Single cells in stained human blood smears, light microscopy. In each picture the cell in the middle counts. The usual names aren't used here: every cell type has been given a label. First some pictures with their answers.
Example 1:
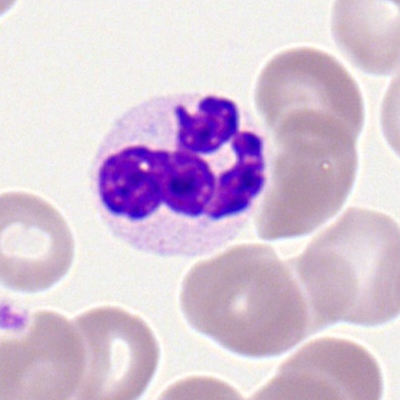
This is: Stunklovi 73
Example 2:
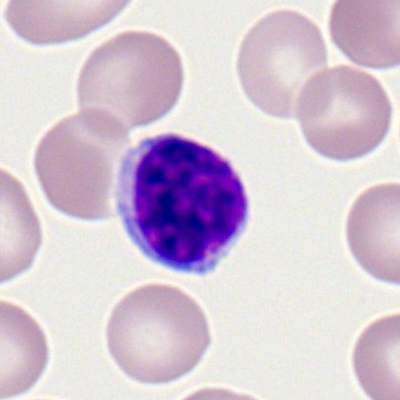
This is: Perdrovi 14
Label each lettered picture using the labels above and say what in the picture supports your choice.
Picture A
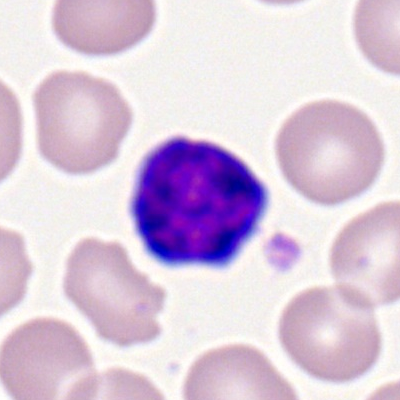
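Label: Perdrovi 14. The nucleus fills almost the whole cell, leaving only a very thin rim of cytoplasm.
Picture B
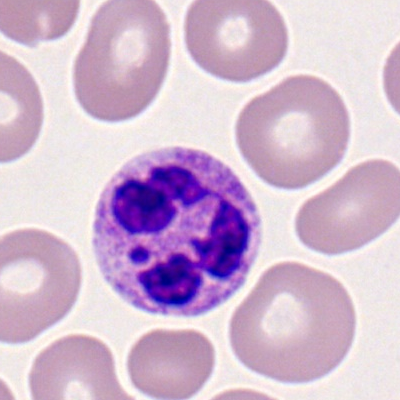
Label: Stunklovi 73. The nucleus is divided into several separate lobes.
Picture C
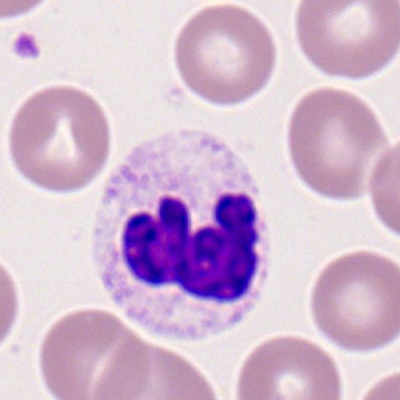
Label: Stunklovi 73. The cytoplasm is plentiful and pale pinkish-lilac.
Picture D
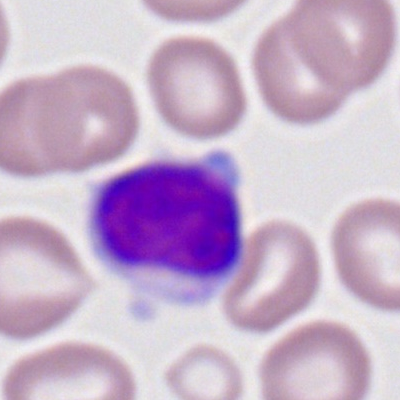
Label: Perdrovi 14. The nucleus fills most of the cell.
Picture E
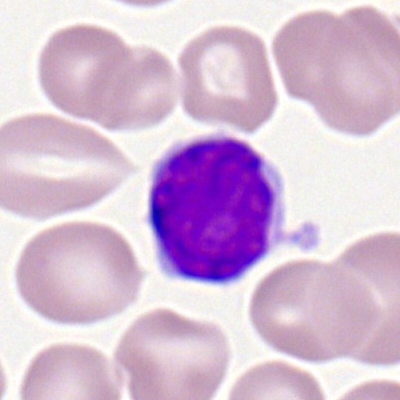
Label: Perdrovi 14. The cytoplasm is a very thin pale blue rim around the nucleus.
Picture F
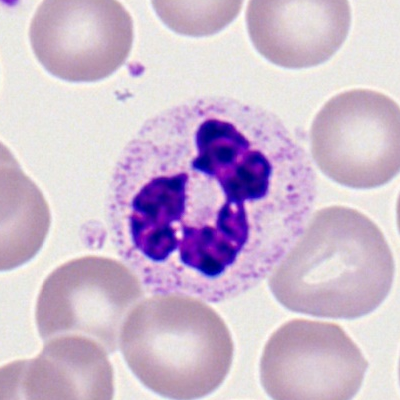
Label: Stunklovi 73. The cytoplasm is abundant and pale pinkish-lilac.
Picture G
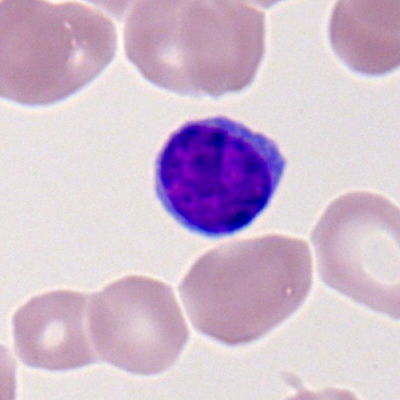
Label: Perdrovi 14. The cytoplasm is a scant rim of pale blue.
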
